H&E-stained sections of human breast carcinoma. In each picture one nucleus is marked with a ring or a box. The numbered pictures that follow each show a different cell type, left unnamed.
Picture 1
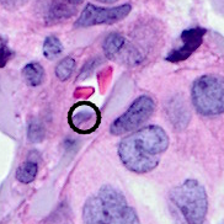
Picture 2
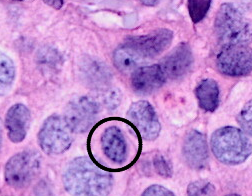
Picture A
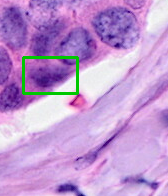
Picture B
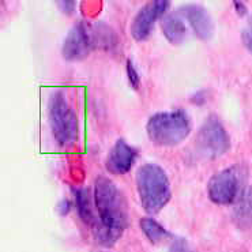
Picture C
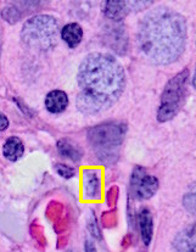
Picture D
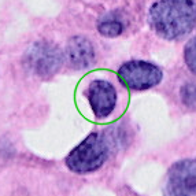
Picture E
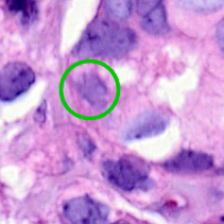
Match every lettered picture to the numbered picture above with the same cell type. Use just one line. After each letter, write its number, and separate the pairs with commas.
A 2, B 1, C 1, D 2, E 2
